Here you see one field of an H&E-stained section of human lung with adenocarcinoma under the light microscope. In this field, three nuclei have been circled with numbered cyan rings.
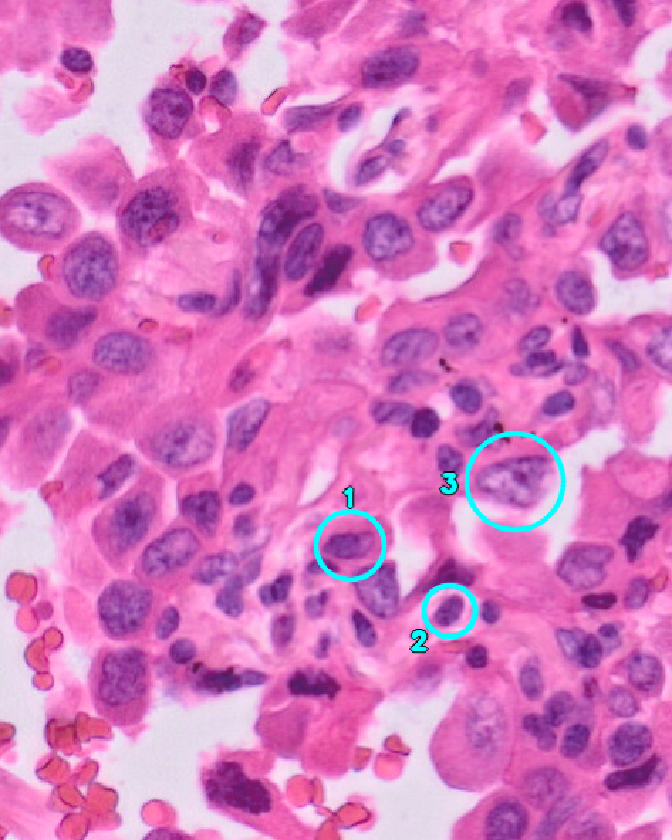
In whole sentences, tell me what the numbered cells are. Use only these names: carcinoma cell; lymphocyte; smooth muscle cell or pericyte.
Cell 1 is a carcinoma cell, cell 2 is a lymphocyte and cell 3 is a carcinoma cell.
